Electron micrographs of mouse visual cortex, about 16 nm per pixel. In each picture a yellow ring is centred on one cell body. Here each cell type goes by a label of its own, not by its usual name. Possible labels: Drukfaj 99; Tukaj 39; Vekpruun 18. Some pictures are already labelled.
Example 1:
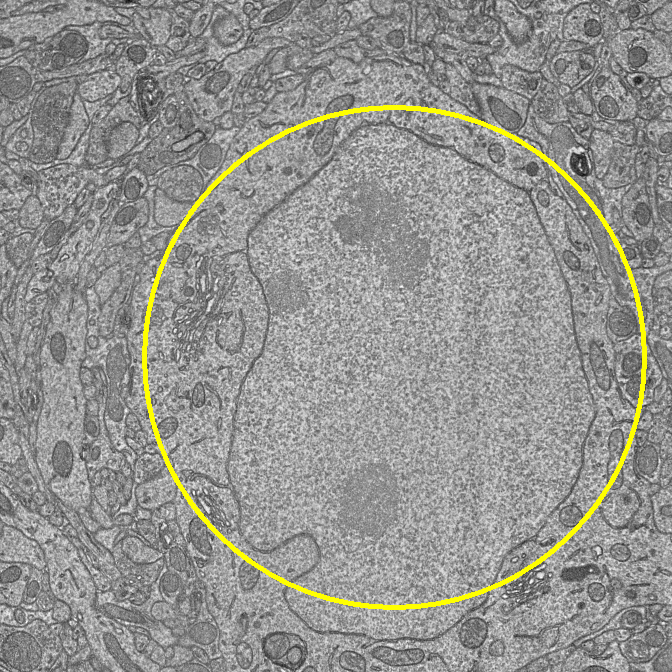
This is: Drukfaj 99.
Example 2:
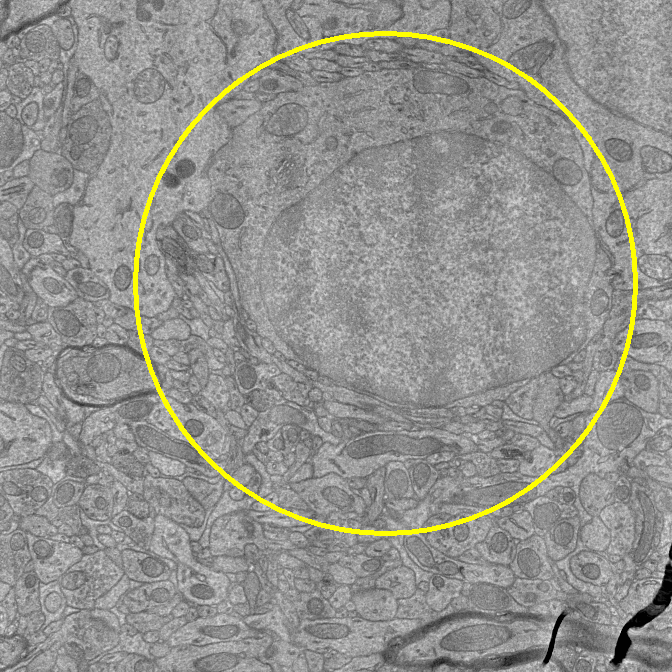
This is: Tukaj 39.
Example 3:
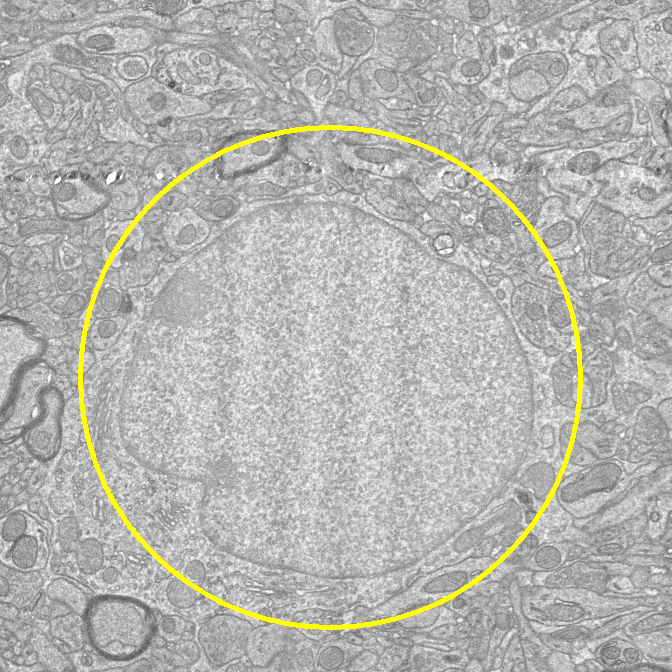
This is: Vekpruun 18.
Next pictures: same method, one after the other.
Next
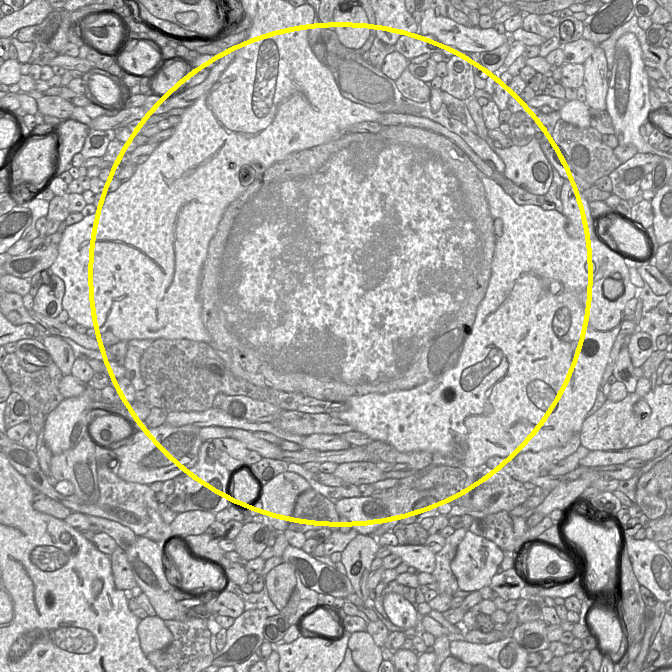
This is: Tukaj 39.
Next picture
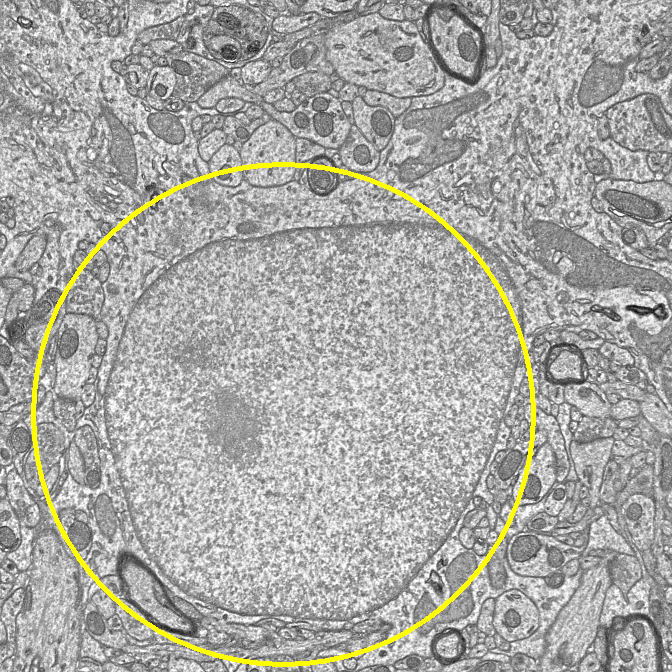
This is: Vekpruun 18.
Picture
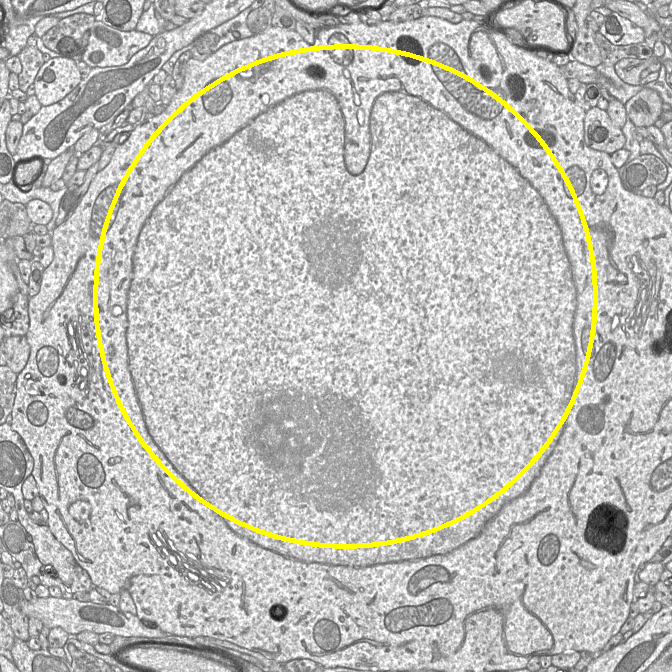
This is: Drukfaj 99.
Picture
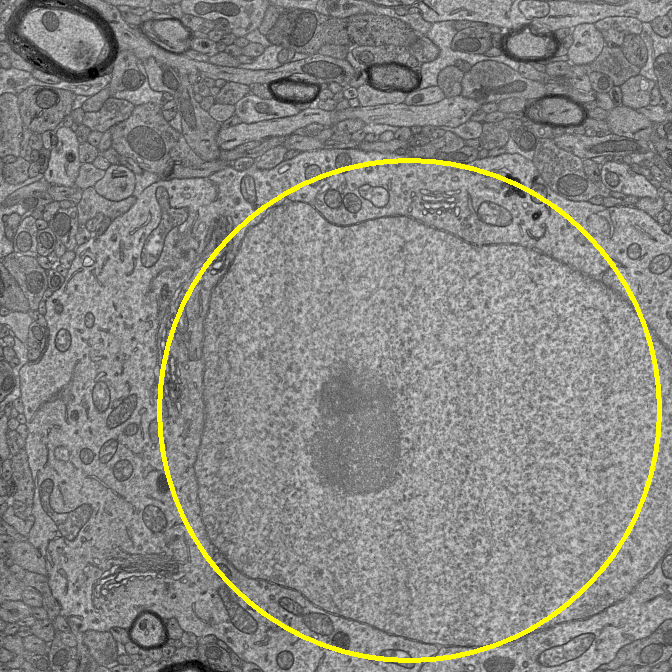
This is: Drukfaj 99.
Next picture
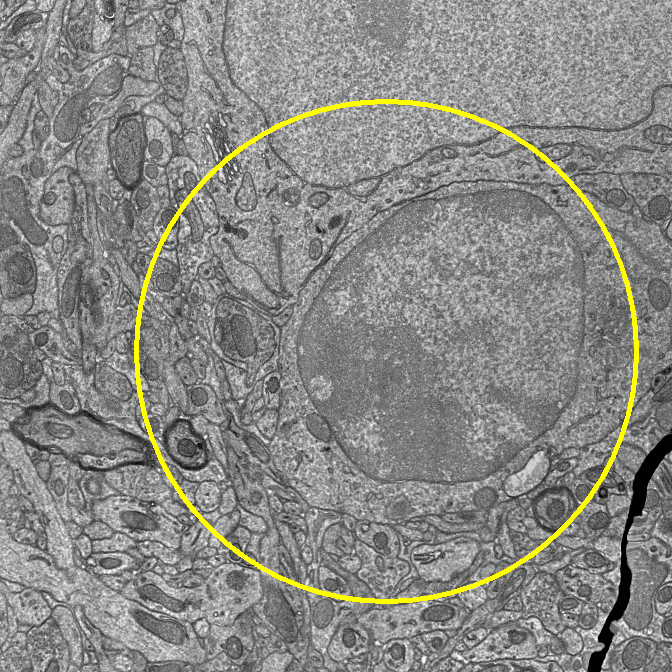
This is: Tukaj 39.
